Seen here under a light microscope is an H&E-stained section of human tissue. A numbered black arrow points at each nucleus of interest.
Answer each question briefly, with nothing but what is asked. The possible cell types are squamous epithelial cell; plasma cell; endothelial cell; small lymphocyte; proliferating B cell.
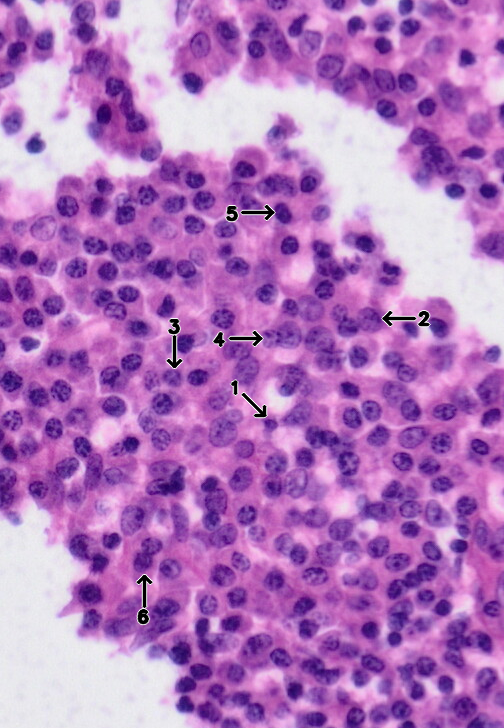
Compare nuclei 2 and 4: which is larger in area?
2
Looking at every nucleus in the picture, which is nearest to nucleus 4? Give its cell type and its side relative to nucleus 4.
a squamous epithelial cell to the right of nucleus 4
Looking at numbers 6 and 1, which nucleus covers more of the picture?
6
